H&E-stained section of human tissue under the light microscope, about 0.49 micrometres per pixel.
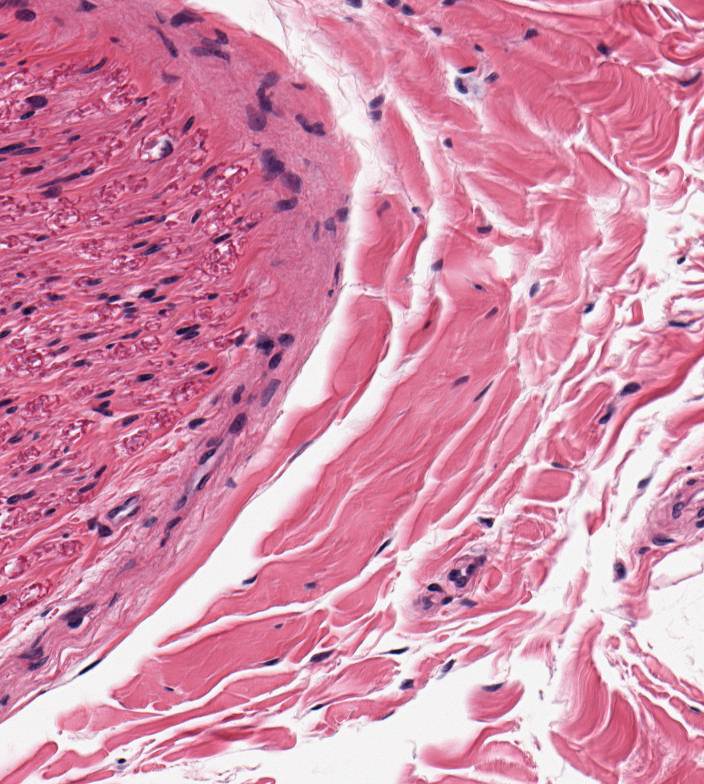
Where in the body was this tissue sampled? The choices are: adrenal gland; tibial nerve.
tibial nerve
